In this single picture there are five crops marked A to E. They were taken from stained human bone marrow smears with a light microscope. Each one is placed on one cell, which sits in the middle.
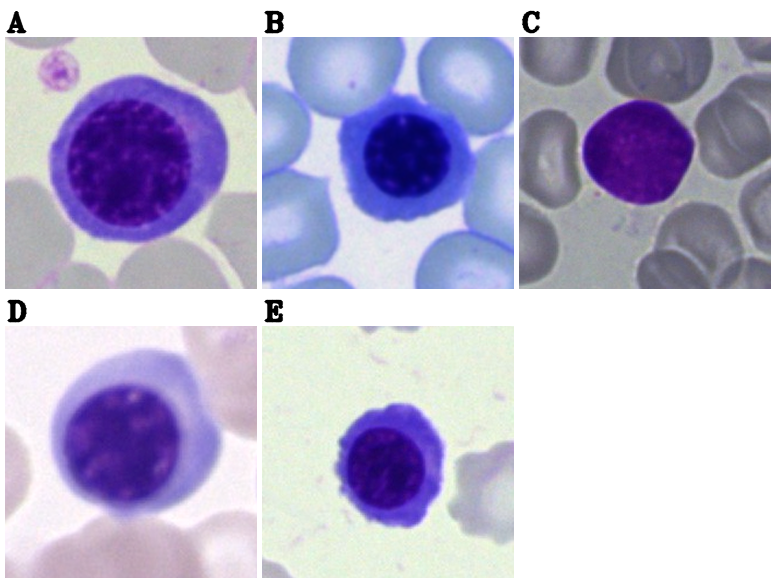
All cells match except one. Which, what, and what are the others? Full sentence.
Crop C shows a lymphocyte; by contrast, all the other crops show erythroblasts.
